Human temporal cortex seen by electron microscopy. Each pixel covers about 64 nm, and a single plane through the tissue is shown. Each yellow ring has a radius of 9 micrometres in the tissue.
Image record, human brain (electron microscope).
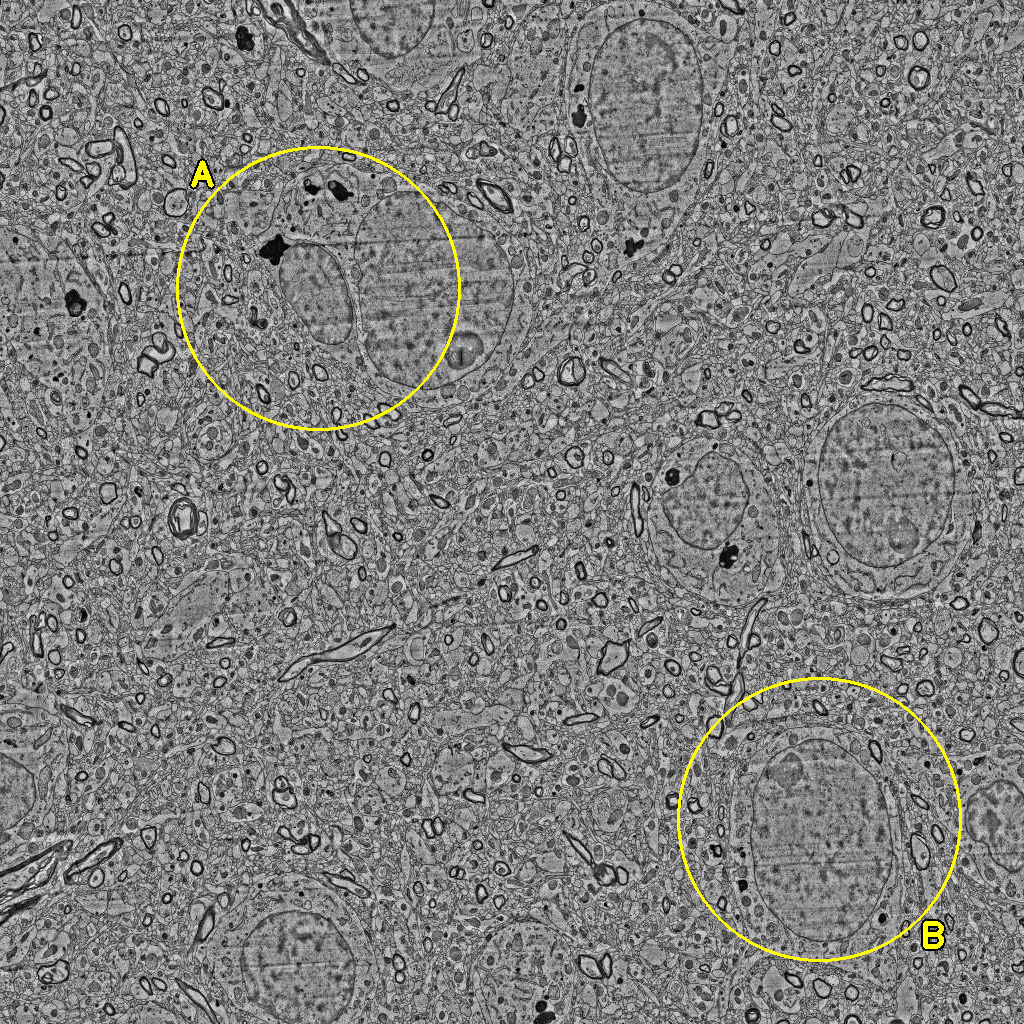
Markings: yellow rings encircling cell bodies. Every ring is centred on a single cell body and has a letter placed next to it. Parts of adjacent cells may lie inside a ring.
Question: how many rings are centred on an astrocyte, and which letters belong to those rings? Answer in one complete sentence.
Checking every lettered ring turns up none centred on an astrocyte, so the count stands at zero.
